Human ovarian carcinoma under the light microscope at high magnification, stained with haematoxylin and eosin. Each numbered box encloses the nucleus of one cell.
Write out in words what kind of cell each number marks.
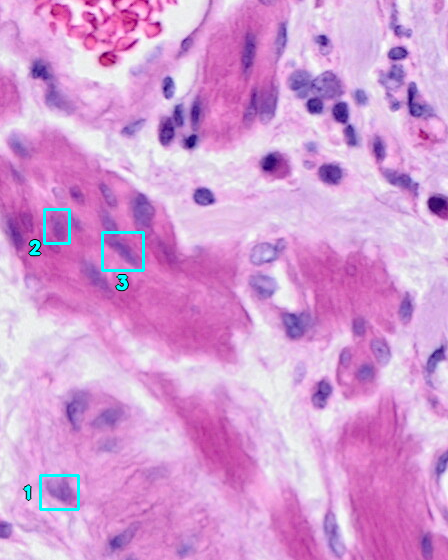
Cell 1 is a fibroblast. Cells 2 and 3 are smooth muscle cells.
